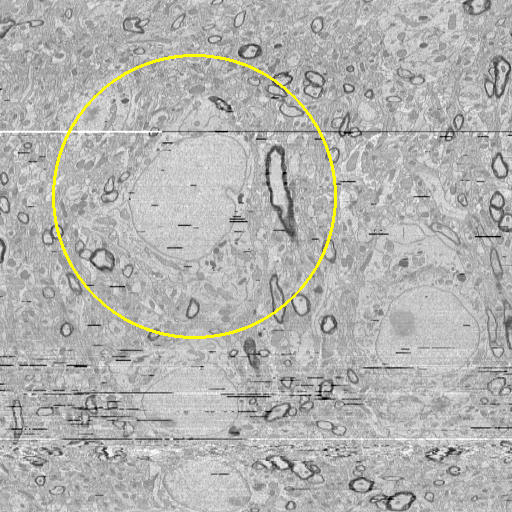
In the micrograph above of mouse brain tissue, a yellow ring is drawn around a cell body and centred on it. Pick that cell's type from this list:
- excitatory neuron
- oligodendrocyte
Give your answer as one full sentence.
Going by the list, an excitatory neuron is the cell on which the yellow ring is centred.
